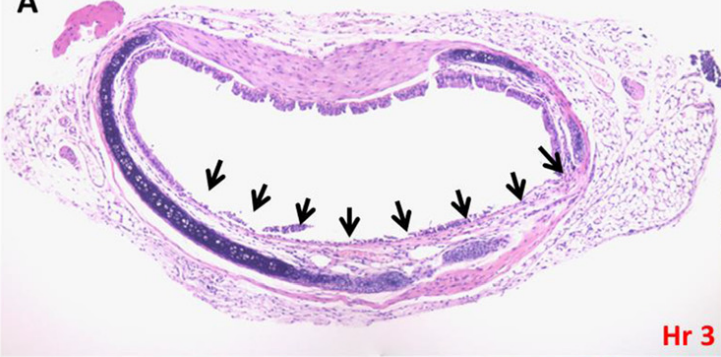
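This cross-section of the trachea shows an oval lumen surrounded by a wall of epithelium, submucosa, dark purple cartilage rings and loose outer connective tissue with fat. On the upper wall a pink band of smooth muscle lies beneath a continuous, taller lining epithelium. Along the lower wall the lining is thin and discontinuous, with small pieces of detached tissue lying free at the luminal surface.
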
